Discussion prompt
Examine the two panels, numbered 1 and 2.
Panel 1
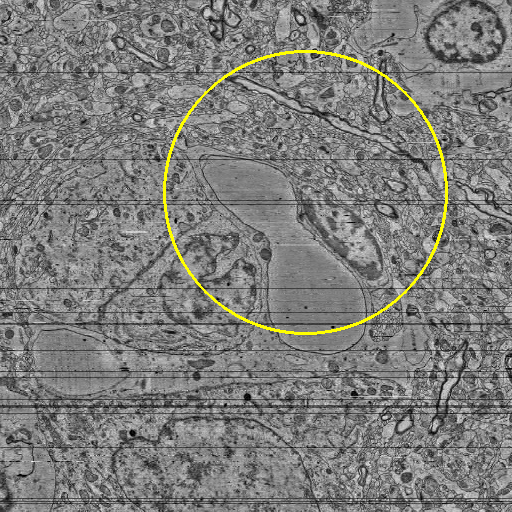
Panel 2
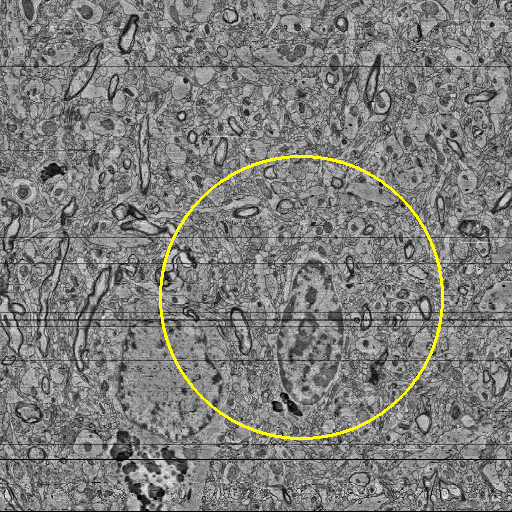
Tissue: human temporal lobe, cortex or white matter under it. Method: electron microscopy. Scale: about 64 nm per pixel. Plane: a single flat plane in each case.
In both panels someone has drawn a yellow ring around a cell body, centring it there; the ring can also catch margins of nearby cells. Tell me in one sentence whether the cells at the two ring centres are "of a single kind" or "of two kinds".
Taken together, the two cells centred in the rings of Panels 1 and 2 are of a single kind.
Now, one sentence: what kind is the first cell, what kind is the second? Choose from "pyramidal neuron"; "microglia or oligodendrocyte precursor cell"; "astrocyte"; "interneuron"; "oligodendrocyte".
Each one of the two ringed cells is a microglial cell or oligodendrocyte precursor cell.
